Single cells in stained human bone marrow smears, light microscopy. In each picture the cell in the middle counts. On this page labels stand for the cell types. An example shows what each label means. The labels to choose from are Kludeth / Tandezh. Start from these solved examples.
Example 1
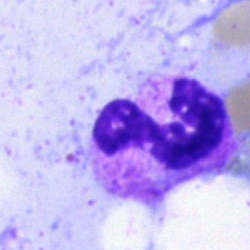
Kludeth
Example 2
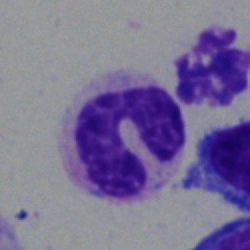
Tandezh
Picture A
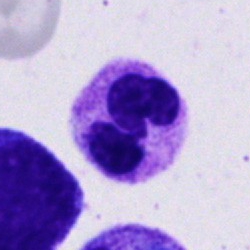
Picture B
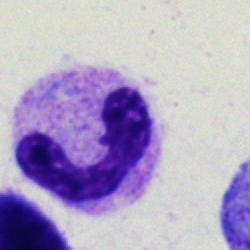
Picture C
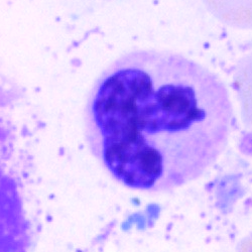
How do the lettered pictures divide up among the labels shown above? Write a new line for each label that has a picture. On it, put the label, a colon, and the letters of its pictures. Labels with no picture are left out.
Kludeth: A, C
Tandezh: B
